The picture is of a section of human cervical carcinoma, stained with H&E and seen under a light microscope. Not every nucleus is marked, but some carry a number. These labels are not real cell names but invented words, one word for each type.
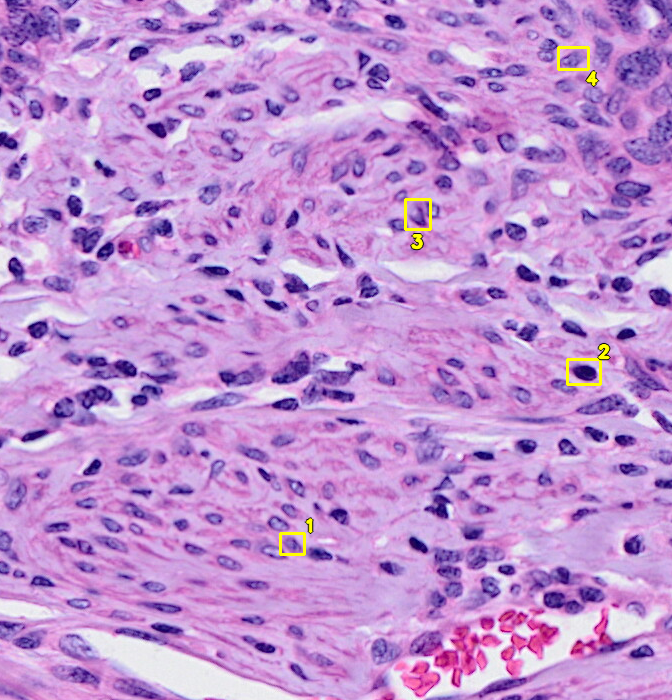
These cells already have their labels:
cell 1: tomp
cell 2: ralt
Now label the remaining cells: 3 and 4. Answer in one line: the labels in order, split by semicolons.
tomp; tomp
